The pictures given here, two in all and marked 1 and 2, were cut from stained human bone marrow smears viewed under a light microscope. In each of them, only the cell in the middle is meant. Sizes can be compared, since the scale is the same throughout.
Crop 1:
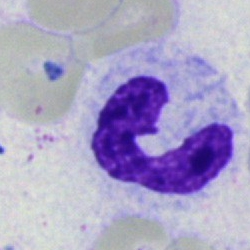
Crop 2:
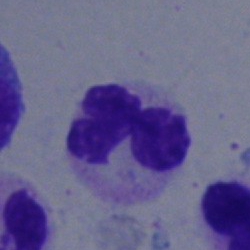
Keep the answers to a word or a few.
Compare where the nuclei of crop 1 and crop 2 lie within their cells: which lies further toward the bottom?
1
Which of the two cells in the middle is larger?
1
